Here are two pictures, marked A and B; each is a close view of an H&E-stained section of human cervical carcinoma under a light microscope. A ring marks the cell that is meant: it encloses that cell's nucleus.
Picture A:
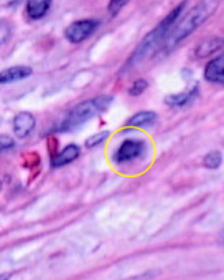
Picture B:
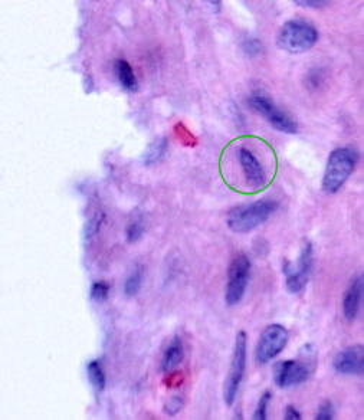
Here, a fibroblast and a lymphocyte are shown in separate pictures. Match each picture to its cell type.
A: lymphocyte
B: fibroblast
